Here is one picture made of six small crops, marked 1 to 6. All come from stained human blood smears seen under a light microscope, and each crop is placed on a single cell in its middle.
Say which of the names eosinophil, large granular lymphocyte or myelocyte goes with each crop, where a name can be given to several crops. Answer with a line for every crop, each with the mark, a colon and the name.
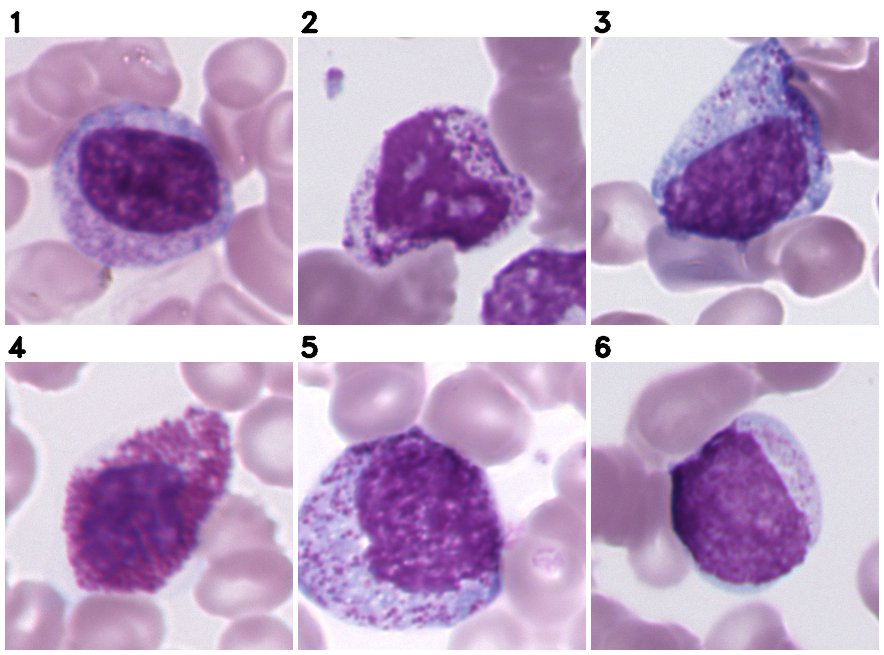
1: myelocyte
2: myelocyte
3: myelocyte
4: eosinophil
5: myelocyte
6: myelocyte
